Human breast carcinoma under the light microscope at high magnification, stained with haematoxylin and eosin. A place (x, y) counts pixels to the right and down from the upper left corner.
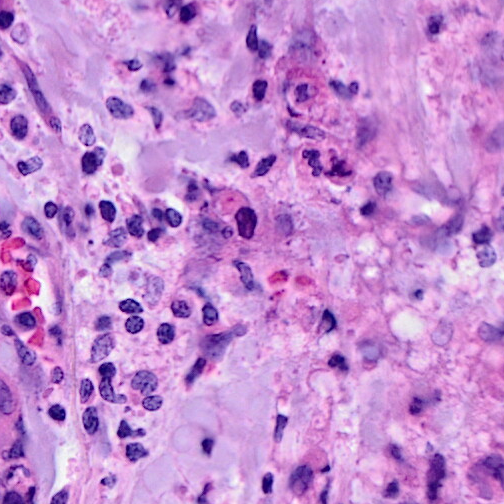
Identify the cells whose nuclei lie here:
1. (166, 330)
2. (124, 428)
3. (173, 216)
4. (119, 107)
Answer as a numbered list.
1. lymphocyte
2. lymphocyte
3. lymphocyte
4. mast cell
